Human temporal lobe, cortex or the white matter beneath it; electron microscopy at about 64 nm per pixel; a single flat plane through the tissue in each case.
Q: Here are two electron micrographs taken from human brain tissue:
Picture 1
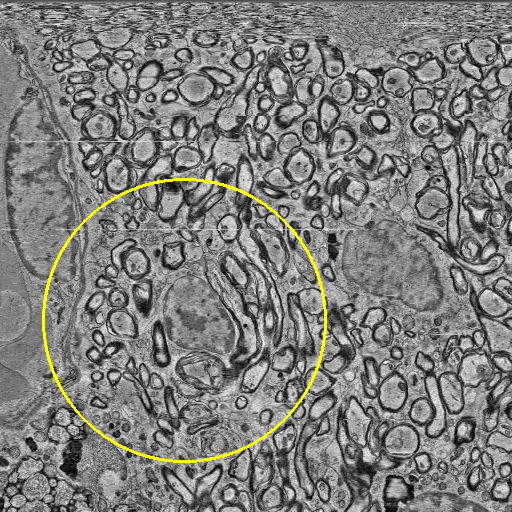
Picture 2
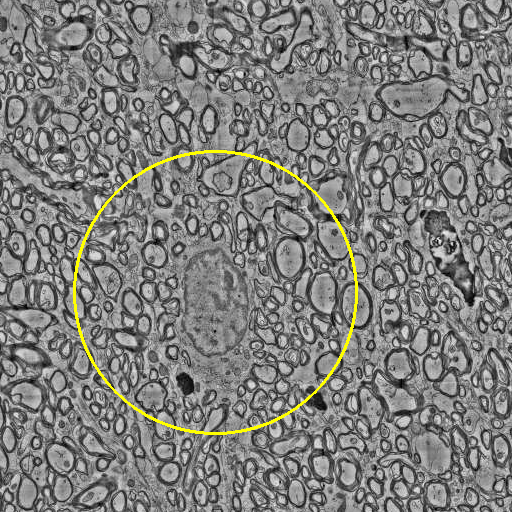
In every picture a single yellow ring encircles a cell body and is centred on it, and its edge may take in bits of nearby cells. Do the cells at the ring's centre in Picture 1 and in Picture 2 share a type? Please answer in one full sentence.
No, the cells at the ring's centre in Picture 1 and Picture 2 are of two types.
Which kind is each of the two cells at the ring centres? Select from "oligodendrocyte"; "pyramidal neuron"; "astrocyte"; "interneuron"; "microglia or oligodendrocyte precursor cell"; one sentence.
The cell at the centre of the ring is a microglial cell or oligodendrocyte precursor cell in the first picture and an oligodendrocyte in the second.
